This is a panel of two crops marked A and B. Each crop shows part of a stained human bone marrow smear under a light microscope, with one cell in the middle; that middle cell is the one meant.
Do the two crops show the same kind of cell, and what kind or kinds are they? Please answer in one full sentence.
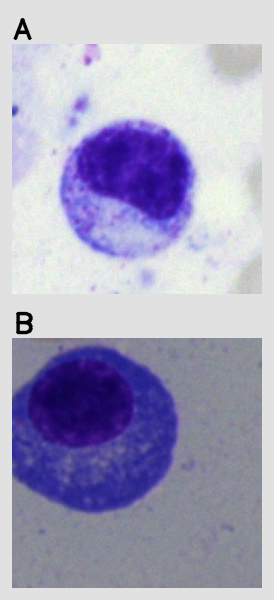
No, crop A holds a myelocyte, and a plasma cell occupies crop B.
